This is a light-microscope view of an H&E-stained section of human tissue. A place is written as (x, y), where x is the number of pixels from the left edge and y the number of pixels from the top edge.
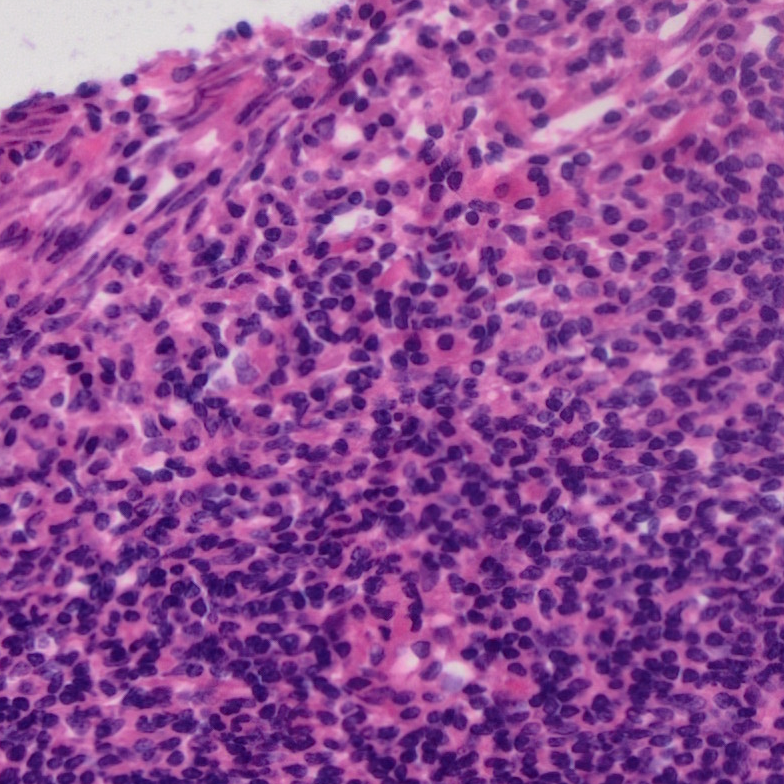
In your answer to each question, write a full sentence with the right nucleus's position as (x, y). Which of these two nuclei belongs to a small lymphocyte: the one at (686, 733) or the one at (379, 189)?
The one nucleus of the two that belongs to a small lymphocyte is at (686, 733).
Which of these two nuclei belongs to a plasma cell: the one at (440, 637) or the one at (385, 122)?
Of the pair, the nucleus located at (385, 122) belongs to a plasma cell.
